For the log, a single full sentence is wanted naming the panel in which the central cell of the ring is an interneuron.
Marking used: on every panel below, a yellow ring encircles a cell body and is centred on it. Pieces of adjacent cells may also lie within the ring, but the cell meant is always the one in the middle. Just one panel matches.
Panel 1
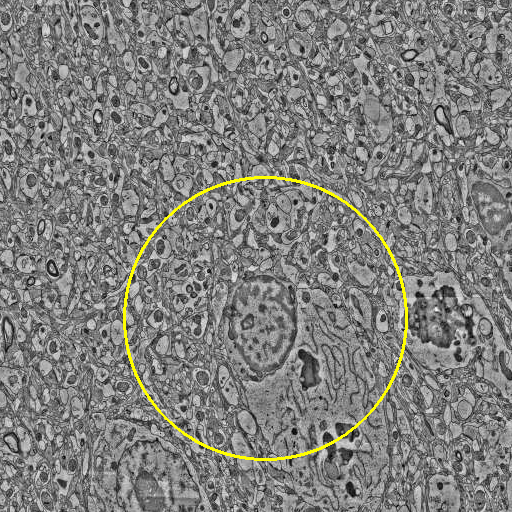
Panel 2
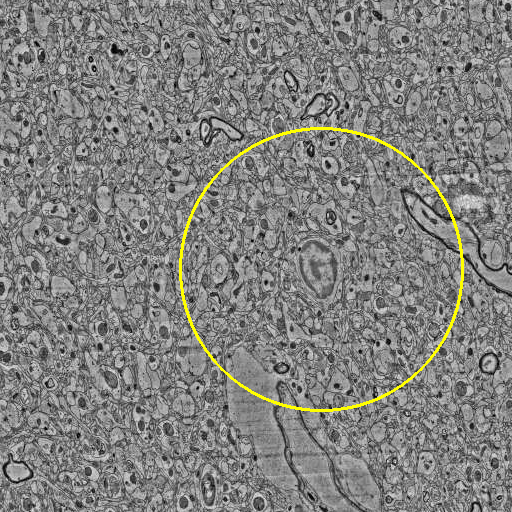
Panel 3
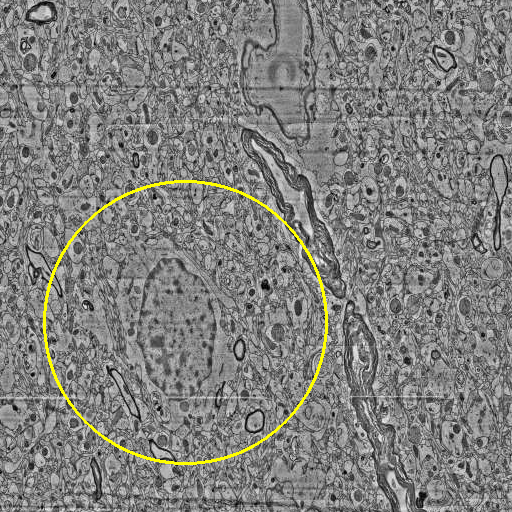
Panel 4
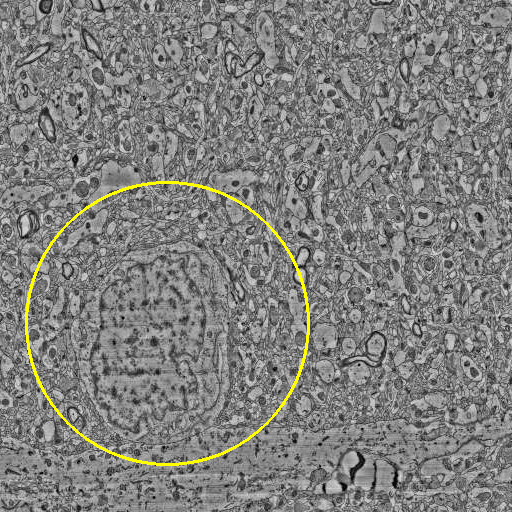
The cell in the middle of the ring in panel 4 is the one asked for.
